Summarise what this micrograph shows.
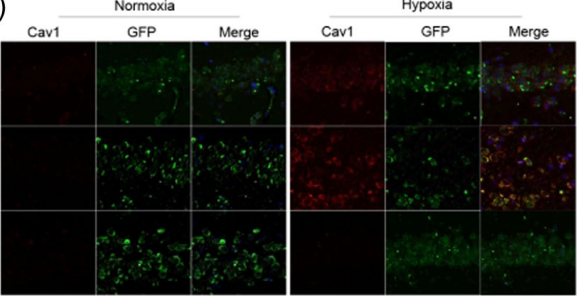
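In the green channel many small, rounded cell bodies lie closely packed in a band, each appearing as a bright spot or ring. Blue nuclei can be seen among them in the merged images. Red staining is faint in the left half of the grid but is diffuse and strong over the cell band in two rows of the right half. Where red and green coincide, the merged image turns yellow to orange over the cell bodies. The bottom row stays almost without red in both halves.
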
